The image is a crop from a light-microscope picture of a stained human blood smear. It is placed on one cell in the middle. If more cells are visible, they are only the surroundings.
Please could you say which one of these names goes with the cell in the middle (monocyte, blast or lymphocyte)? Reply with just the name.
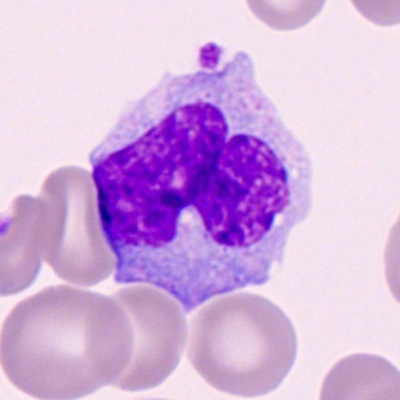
monocyte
